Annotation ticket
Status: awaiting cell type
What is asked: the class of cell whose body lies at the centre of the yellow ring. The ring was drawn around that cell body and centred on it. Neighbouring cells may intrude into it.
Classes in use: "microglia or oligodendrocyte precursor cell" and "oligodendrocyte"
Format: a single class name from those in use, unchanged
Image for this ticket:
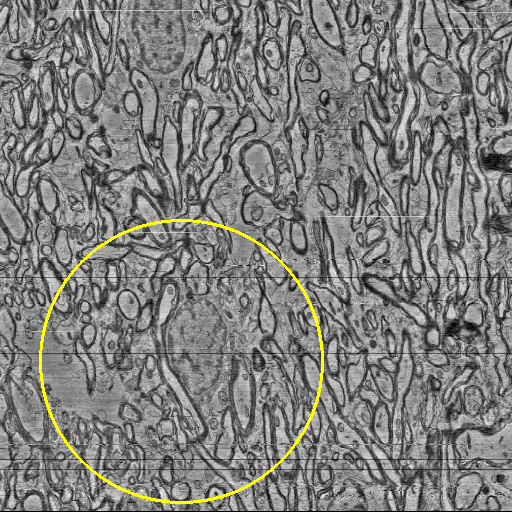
oligodendrocyte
